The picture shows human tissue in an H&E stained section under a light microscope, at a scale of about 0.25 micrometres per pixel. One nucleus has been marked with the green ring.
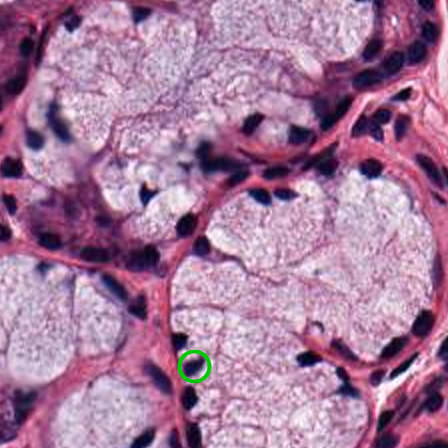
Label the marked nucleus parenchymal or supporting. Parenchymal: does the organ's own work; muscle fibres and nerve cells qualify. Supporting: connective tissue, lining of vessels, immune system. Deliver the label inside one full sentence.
It is to a mucous gland cell, a parenchymal cell, that the marked nucleus belongs.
